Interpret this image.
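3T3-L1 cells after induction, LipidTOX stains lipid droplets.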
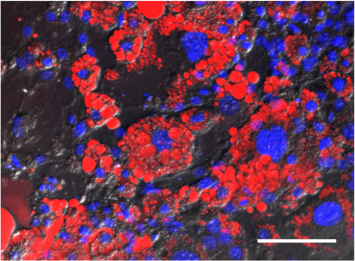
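A dense culture in which most cells are packed with round red globules of many sizes, from small dots to large spheres, crowded in the cytoplasm around blue oval nuclei. The globules cluster in groups, some large ones merging into big rounded masses, while grey cell outlines show between them. The spindle shape of the cells is largely lost as cytoplasm fills with these inclusions.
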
